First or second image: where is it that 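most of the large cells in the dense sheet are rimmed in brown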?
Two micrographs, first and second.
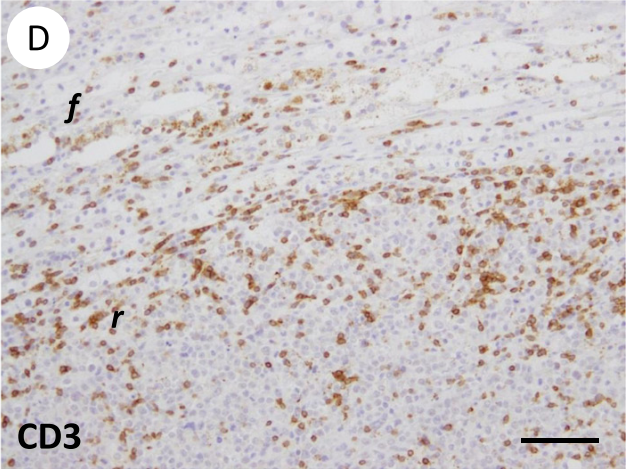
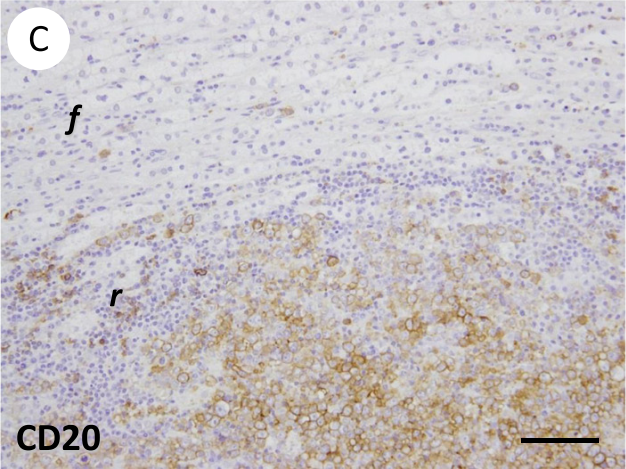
the second image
